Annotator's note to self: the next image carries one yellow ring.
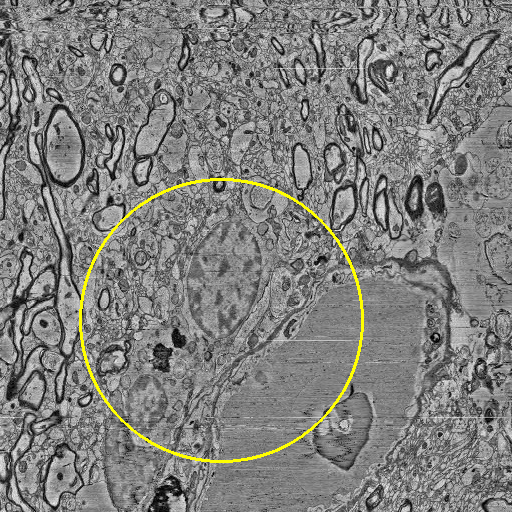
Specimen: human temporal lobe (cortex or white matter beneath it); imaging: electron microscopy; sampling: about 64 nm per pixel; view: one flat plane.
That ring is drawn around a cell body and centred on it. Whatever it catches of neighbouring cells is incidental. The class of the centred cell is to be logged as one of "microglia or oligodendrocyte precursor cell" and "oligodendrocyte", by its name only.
oligodendrocyte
